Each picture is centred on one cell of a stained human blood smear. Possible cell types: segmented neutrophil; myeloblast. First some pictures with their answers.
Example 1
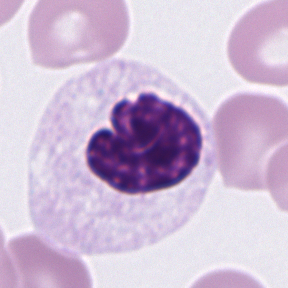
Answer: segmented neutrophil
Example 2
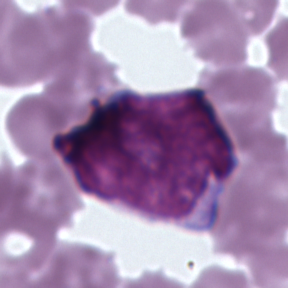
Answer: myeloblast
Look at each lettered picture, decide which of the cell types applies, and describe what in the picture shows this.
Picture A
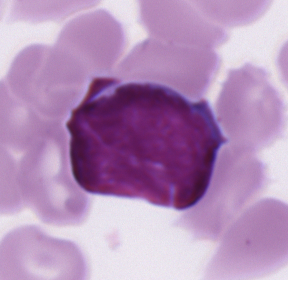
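Answer: myeloblast. The nucleus fills almost the whole cell.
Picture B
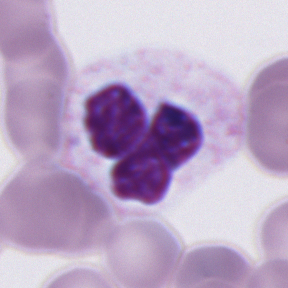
Answer: segmented neutrophil. The nucleus is divided into three lobes.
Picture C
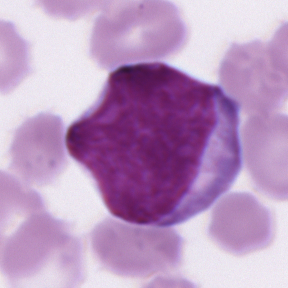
Answer: myeloblast. The cytoplasm forms a narrow crescent that is widest on the right side of the cell.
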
